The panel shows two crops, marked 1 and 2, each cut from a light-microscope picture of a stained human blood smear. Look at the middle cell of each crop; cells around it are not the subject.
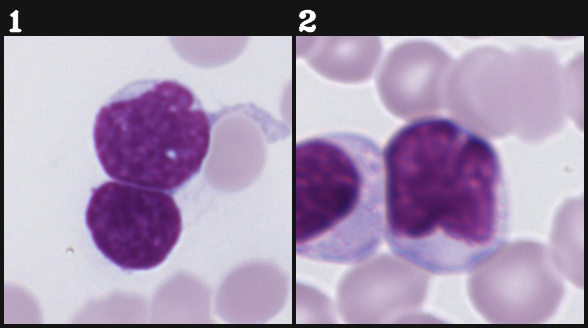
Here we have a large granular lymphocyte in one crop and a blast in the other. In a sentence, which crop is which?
Crop 1 displays a blast, and crop 2 displays a large granular lymphocyte.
